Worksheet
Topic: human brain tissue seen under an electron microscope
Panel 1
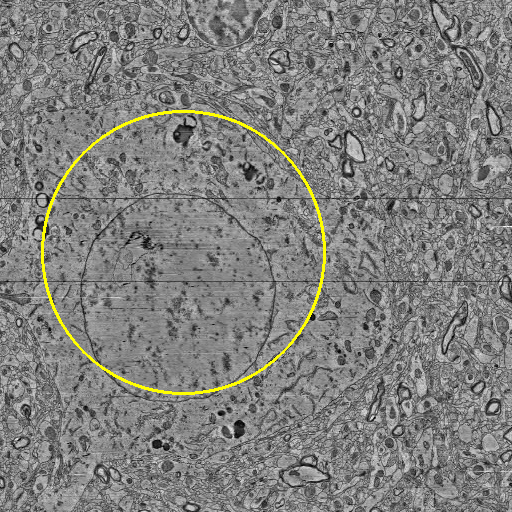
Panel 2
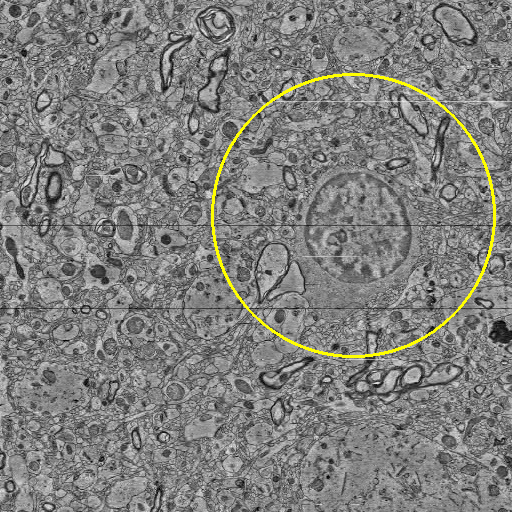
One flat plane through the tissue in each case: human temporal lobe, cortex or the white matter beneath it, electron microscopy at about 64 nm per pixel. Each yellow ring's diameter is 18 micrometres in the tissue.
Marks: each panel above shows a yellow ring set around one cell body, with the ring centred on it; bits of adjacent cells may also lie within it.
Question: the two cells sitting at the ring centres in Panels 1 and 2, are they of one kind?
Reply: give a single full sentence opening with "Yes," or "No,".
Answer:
No, the two ring-centre cells in Panel 1 and Panel 2 are of two kinds.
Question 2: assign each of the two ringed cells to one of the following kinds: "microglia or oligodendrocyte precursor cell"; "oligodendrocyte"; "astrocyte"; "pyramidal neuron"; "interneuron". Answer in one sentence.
The two cells are a pyramidal neuron in the first picture and an oligodendrocyte in the second.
